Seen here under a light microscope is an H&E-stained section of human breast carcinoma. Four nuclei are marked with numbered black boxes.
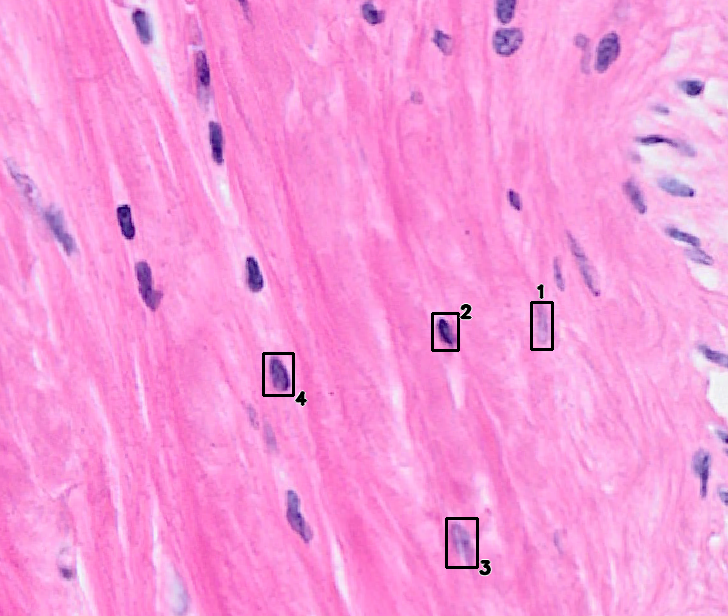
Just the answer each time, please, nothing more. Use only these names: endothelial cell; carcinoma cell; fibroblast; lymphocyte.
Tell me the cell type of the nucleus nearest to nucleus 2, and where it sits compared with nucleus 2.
a fibroblast, to the right of nucleus 2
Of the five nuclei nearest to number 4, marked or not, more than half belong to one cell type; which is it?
lymphocyte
